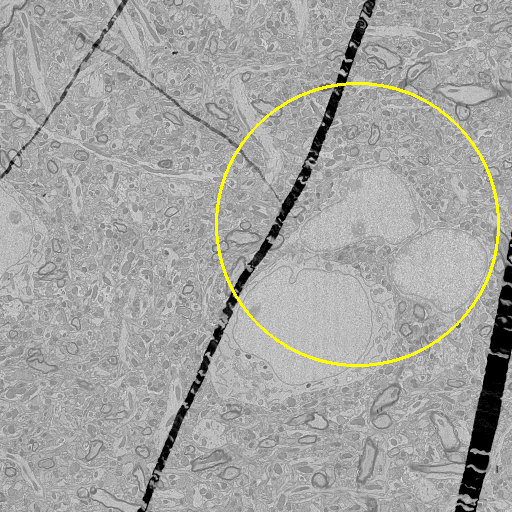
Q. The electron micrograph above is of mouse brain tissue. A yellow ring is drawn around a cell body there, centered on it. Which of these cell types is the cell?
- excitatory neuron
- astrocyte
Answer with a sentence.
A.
The cell under the ring's center is an astrocyte.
